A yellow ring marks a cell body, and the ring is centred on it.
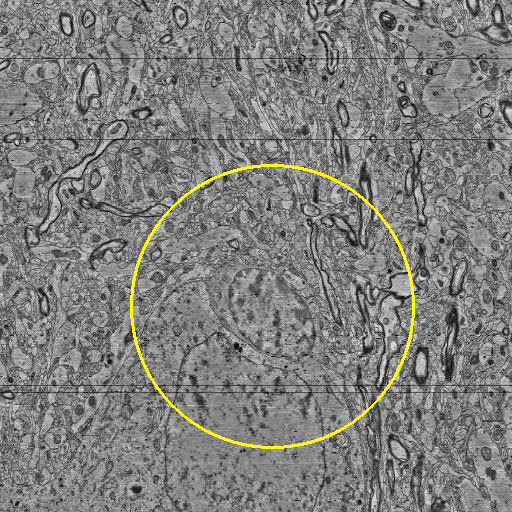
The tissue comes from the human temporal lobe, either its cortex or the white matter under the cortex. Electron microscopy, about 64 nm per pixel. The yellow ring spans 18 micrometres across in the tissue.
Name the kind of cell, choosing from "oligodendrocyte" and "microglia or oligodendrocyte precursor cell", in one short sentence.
The marked cell body belongs to an oligodendrocyte.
